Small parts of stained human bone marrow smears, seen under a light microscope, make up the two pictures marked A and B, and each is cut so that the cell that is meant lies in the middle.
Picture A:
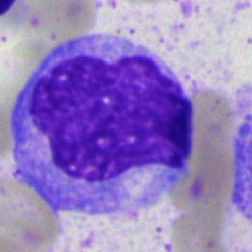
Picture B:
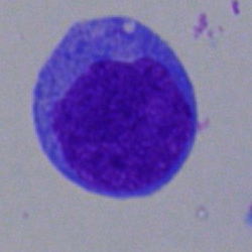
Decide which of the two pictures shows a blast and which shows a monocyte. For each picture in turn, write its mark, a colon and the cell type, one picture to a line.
A: monocyte
B: blast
